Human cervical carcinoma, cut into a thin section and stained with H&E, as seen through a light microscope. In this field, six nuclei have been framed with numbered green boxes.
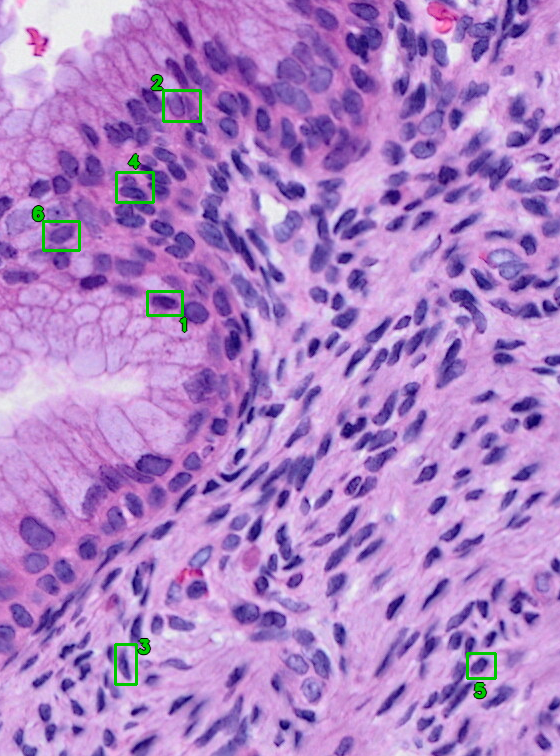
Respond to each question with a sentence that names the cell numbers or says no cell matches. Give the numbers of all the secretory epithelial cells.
Into the category of secretory epithelial cells fall the cells numbered 1, 2, 4 and 6.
